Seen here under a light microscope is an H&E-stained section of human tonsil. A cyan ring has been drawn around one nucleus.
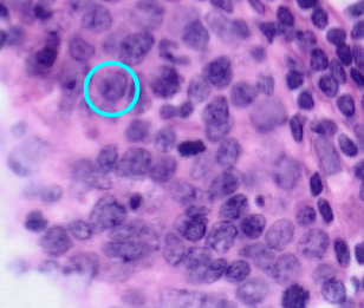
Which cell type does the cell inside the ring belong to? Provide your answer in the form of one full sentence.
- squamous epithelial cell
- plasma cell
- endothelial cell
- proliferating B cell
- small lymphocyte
What the cell inside the ring represents is a proliferating B cell.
